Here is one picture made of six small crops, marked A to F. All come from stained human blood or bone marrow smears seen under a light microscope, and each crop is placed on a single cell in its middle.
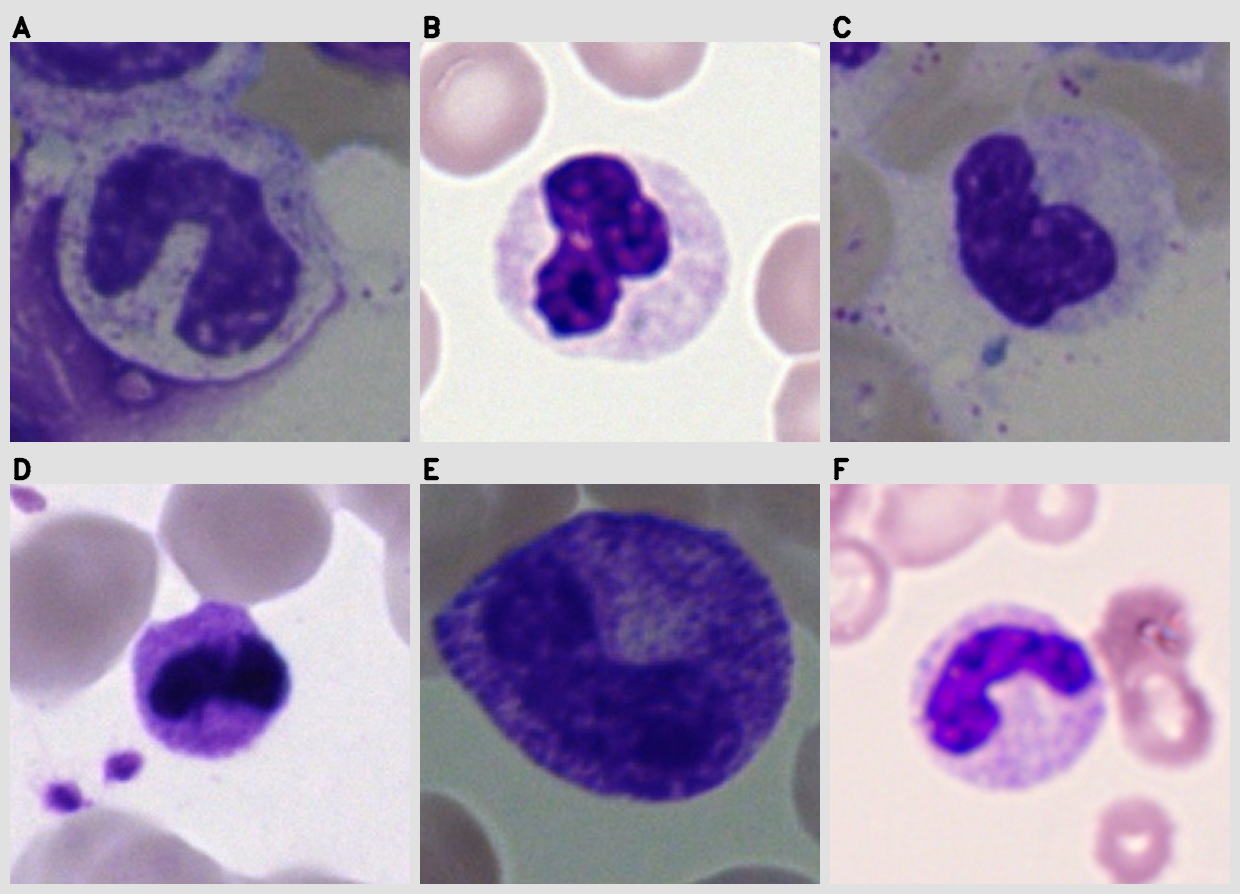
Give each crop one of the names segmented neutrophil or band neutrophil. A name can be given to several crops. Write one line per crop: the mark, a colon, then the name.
A: band neutrophil
B: segmented neutrophil
C: band neutrophil
D: segmented neutrophil
E: band neutrophil
F: segmented neutrophil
